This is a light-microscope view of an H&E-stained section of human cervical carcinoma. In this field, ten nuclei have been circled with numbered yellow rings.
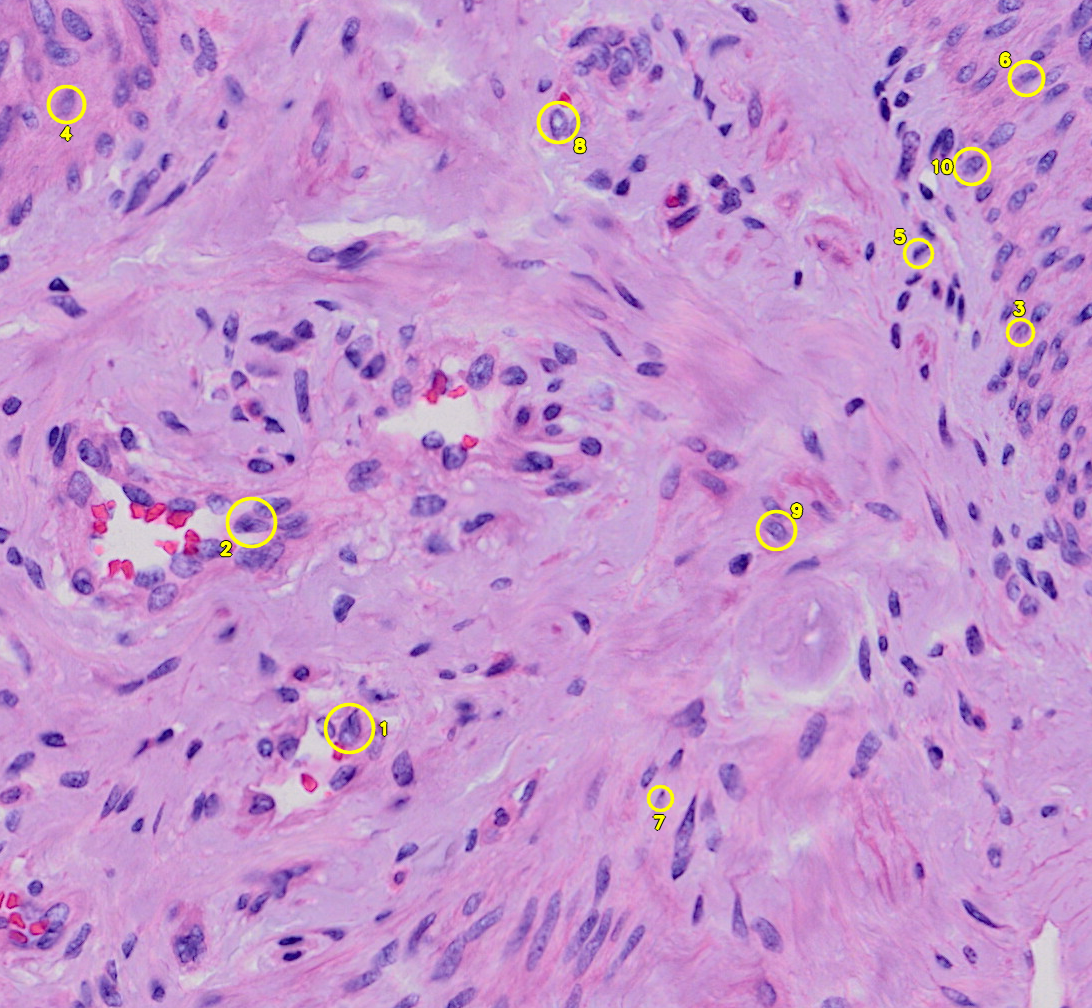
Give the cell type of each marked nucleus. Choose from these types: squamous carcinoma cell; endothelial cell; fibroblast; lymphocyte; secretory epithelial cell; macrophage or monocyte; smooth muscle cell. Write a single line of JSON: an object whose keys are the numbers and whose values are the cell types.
{"1": "endothelial cell", "2": "endothelial cell", "3": "smooth muscle cell", "4": "smooth muscle cell", "5": "fibroblast", "6": "smooth muscle cell", "7": "smooth muscle cell", "8": "endothelial cell", "9": "smooth muscle cell", "10": "smooth muscle cell"}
